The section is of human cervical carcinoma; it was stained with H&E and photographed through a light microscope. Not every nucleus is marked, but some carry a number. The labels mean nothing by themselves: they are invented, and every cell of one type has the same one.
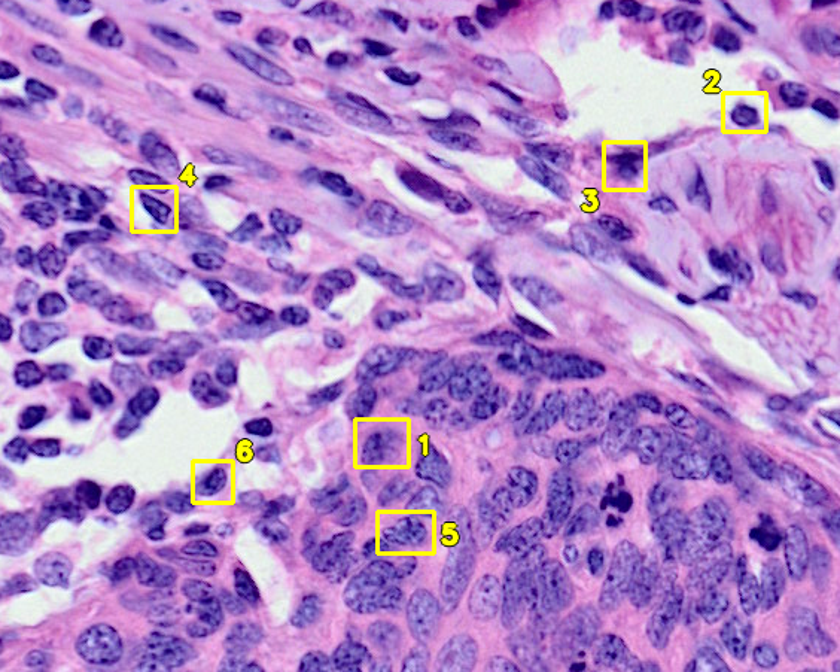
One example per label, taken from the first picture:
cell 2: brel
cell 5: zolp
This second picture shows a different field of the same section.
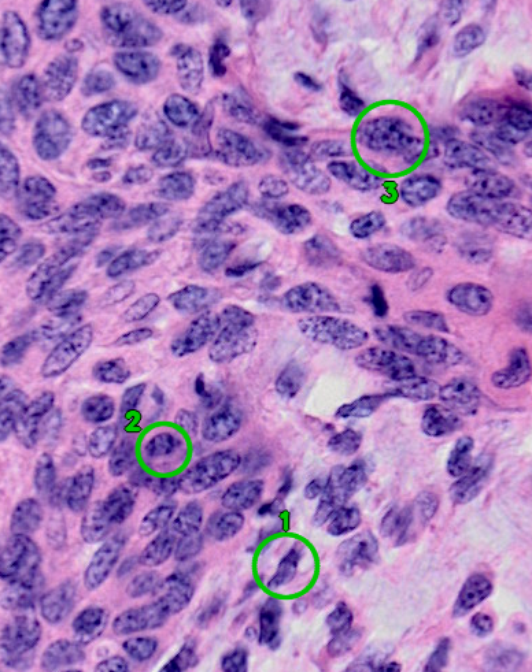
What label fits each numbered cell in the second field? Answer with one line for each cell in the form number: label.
1: brel
2: zolp
3: zolp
